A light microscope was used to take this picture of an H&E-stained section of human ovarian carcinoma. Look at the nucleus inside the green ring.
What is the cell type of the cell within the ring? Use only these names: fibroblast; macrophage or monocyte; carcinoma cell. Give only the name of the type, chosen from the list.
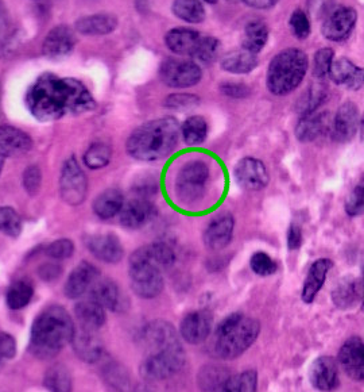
carcinoma cell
